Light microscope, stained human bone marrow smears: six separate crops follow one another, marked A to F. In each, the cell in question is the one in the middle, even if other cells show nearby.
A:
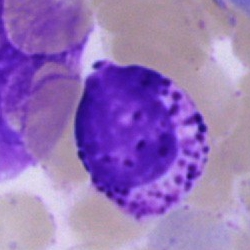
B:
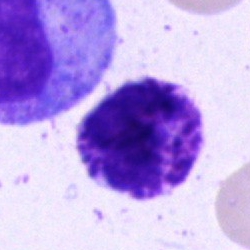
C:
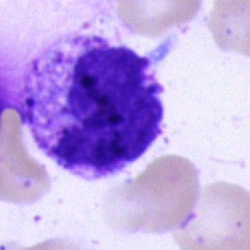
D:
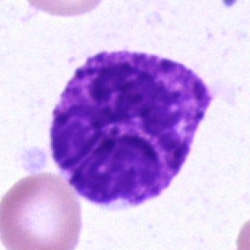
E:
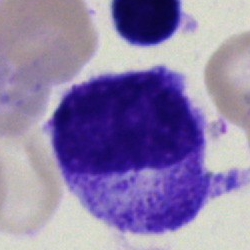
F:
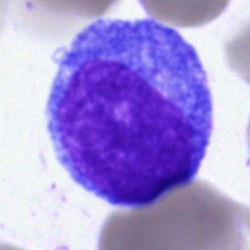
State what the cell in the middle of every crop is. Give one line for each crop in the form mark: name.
A: basophil
B: basophil
C: basophil
D: basophil
E: promyelocyte
F: promyelocyte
